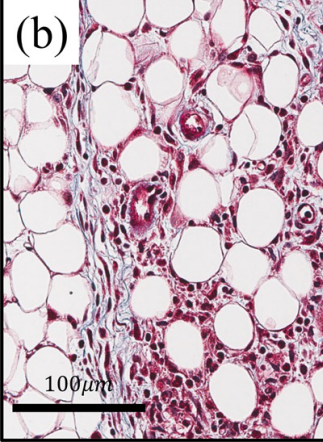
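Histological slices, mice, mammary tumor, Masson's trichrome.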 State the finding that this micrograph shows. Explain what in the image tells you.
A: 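Invaded adipose tissue. Dense clusters of dark-nucleated cells lie between scattered large white spaces. The border between the cellular region and the white spaces is irregular.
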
